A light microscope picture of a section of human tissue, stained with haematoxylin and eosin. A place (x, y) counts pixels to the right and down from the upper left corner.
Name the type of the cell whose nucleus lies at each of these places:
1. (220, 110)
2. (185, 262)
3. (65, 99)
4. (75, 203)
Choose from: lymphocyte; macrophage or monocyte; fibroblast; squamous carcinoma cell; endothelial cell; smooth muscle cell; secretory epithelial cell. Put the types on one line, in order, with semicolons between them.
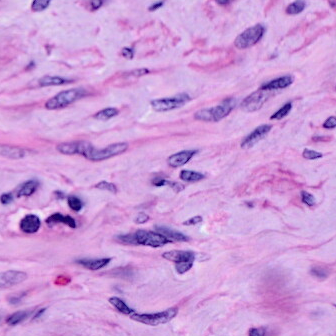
smooth muscle cell; lymphocyte; smooth muscle cell; lymphocyte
